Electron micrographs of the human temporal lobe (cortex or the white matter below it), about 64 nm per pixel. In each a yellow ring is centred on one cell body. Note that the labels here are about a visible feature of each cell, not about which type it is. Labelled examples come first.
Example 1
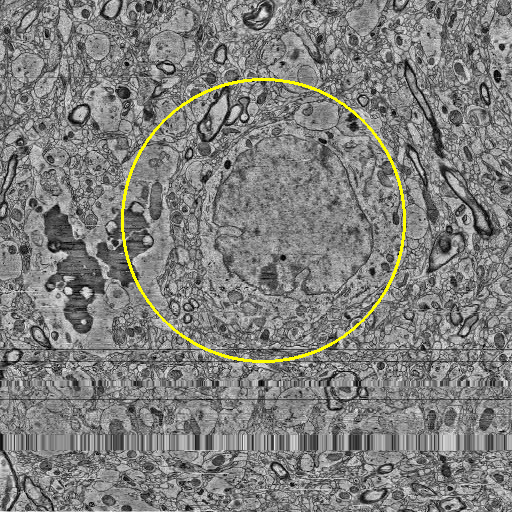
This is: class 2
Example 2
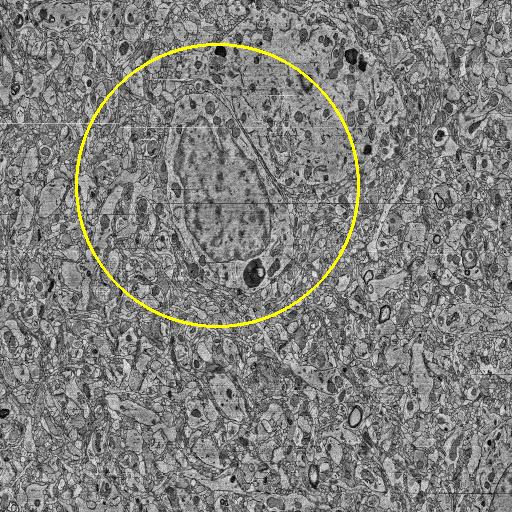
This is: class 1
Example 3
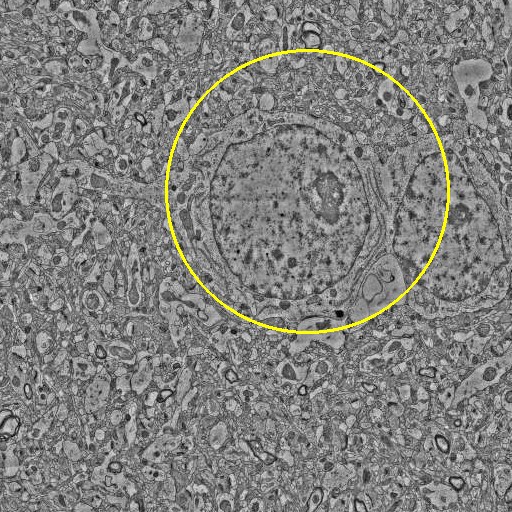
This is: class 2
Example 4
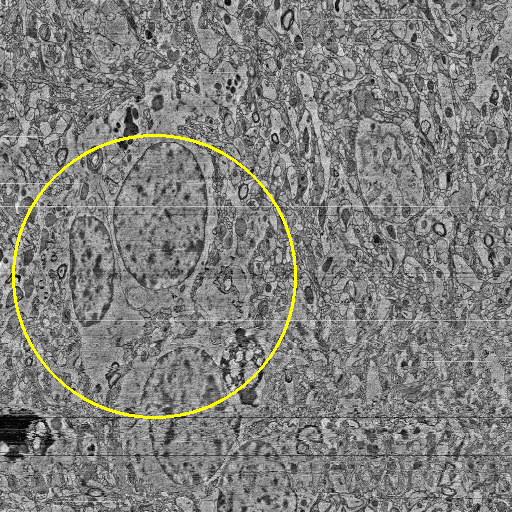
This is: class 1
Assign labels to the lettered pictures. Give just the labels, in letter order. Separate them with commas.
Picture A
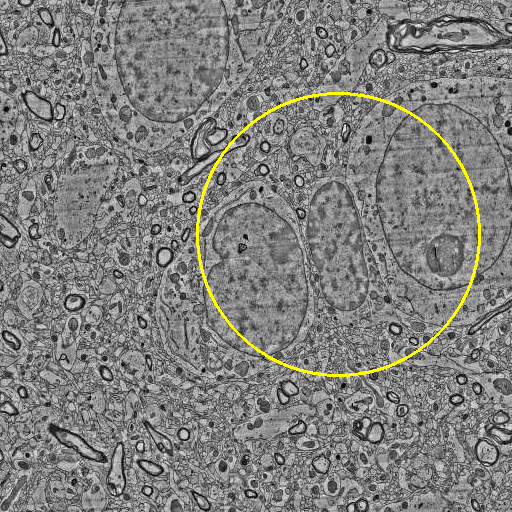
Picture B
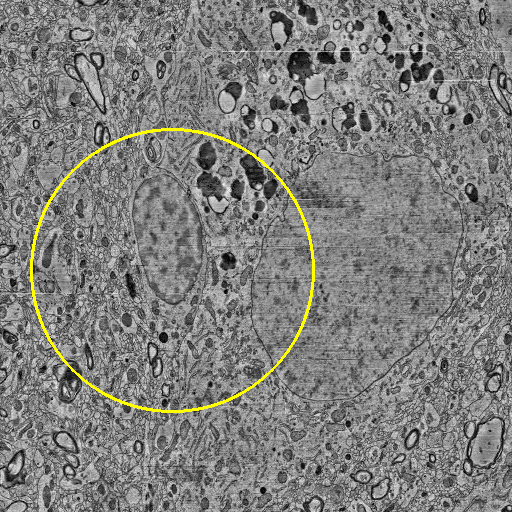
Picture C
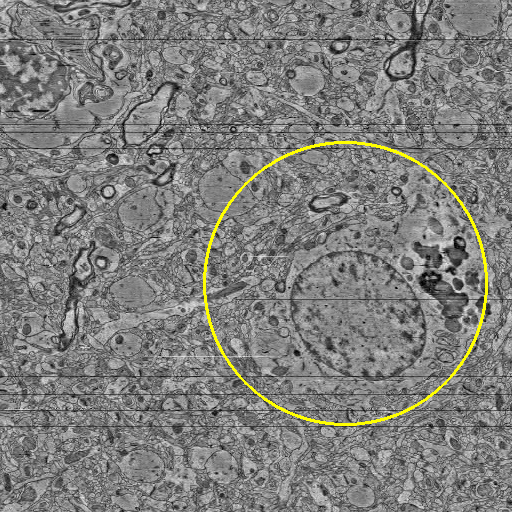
class 1, class 1, class 2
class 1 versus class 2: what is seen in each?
Seen in class 1: clearly elongated nuclei; seen in class 2: round or nearly round nuclei.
